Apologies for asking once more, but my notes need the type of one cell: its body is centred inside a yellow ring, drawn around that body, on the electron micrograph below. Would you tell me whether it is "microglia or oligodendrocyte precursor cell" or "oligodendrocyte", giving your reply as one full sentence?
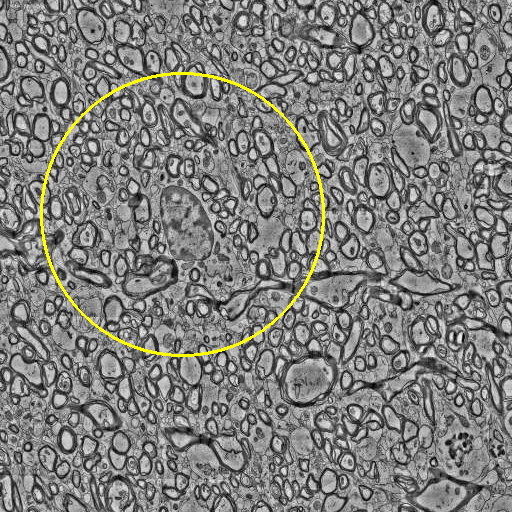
The cell that the yellow ring is centred on is a microglial cell or oligodendrocyte precursor cell in this micrograph.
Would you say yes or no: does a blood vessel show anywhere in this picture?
No, there is no blood vessel in the image.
